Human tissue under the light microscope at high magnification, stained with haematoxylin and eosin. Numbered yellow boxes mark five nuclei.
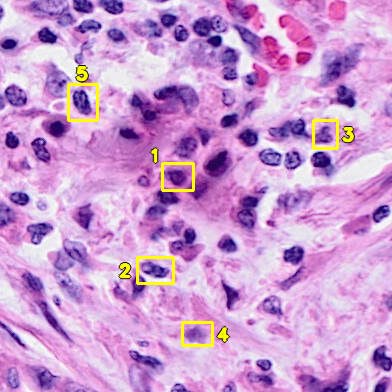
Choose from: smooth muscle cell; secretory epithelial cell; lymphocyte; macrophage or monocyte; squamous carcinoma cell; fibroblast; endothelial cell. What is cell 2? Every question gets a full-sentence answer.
The cell pointed out as number 2 is a lymphocyte.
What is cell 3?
Within this field of view, the cell labelled 3 is a macrophage or monocyte.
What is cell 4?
Cell 4 is classified as a fibroblast.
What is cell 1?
In the tissue shown, cell 1 is a lymphocyte.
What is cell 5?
The cell numbered 5 represents a lymphocyte.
